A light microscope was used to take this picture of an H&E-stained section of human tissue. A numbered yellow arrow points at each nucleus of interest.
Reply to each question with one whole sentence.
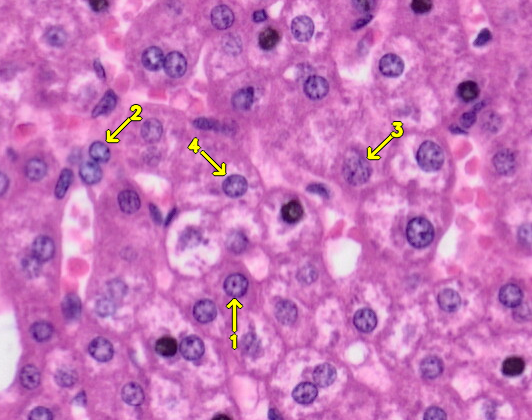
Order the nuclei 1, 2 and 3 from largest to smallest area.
From largest to smallest, the order is 3, 1, 2.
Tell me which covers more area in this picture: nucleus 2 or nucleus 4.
The larger nucleus is 4, at roughly 1.5 times the area of 2.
